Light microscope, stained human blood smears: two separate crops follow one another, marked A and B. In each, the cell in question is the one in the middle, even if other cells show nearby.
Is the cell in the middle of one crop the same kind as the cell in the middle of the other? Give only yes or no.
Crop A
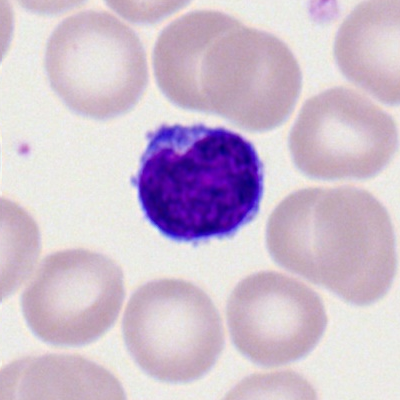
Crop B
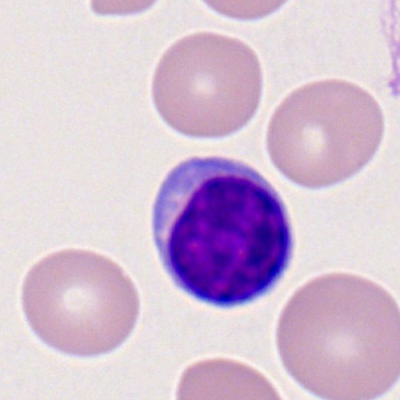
yes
